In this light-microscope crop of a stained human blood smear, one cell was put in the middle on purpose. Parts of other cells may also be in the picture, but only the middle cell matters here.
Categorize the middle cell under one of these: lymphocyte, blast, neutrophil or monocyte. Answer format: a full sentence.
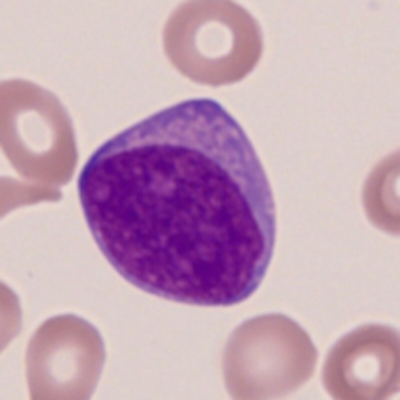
Classification of the middle cell gives a blast.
